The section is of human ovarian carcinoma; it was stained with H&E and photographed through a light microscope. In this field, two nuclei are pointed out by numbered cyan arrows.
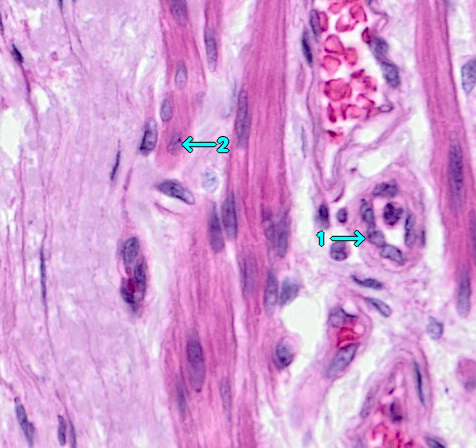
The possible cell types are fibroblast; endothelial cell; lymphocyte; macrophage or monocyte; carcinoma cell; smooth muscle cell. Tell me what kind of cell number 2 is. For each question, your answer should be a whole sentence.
The correct answer for cell 2 is a smooth muscle cell.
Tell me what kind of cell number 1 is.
At number 1, the marked cell is an endothelial cell.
